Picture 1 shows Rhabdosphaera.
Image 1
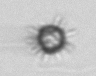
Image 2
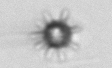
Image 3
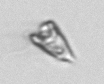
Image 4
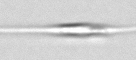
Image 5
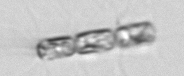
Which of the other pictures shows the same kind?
Picture 2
